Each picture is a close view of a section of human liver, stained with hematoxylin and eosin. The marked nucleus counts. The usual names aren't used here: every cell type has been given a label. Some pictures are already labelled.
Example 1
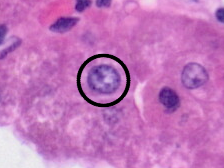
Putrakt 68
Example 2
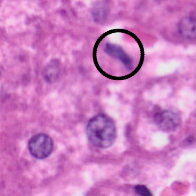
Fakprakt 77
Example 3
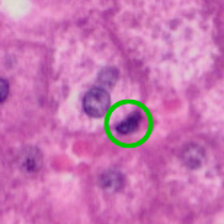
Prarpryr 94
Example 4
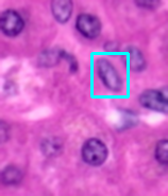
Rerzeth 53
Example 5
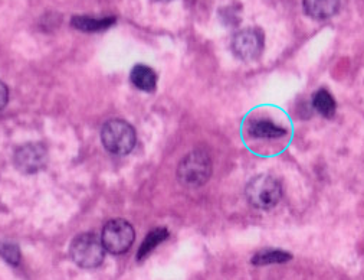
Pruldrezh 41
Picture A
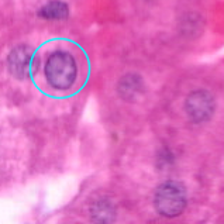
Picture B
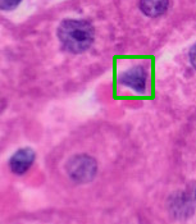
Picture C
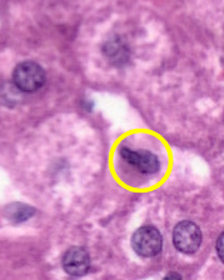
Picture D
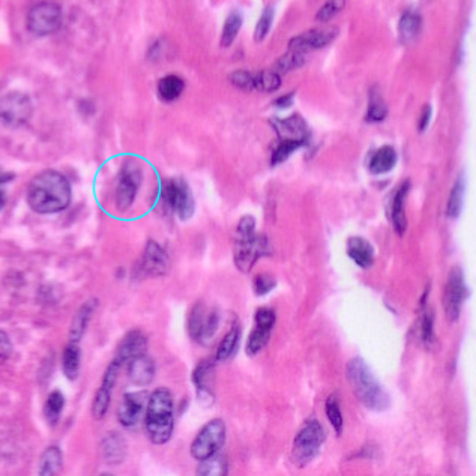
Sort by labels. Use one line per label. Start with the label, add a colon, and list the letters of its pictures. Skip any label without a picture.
Putrakt 68: A
Fakprakt 77: C
Prarpryr 94: D
Pruldrezh 41: B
